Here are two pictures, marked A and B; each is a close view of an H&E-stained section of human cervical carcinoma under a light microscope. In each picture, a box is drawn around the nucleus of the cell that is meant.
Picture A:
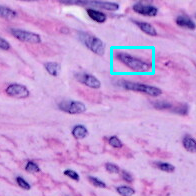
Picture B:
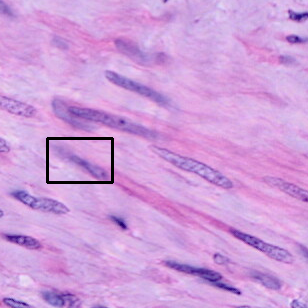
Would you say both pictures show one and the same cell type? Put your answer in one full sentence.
Yes, they are the same type: both are smooth muscle cells.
